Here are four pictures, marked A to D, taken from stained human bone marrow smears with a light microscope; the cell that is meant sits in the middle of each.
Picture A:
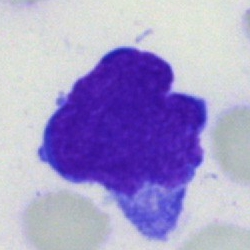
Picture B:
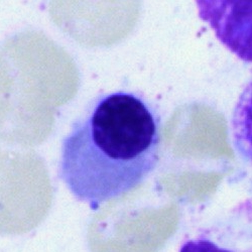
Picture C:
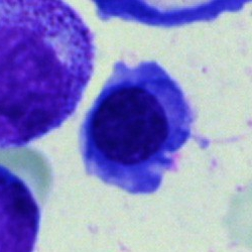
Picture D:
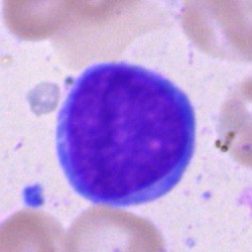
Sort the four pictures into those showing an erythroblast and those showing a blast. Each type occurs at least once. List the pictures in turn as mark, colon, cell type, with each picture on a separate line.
A: blast
B: erythroblast
C: erythroblast
D: blast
